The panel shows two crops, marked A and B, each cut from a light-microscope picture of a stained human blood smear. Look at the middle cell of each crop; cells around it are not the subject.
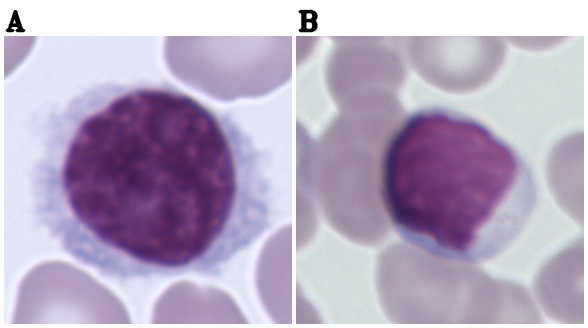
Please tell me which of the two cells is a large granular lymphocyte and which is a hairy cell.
A: hairy cell
B: large granular lymphocyte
